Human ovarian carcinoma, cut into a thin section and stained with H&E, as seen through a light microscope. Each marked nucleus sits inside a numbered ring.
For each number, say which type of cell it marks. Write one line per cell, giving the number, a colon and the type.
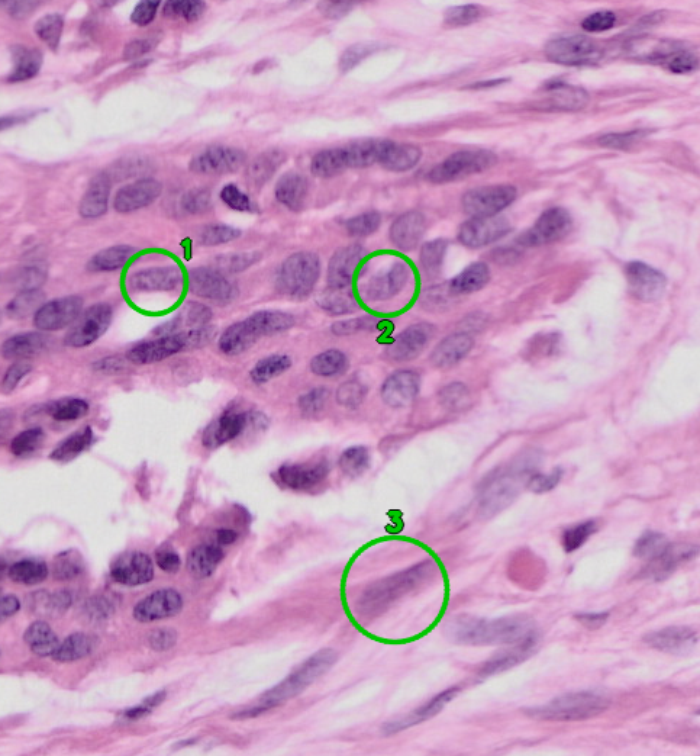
1: carcinoma cell
2: carcinoma cell
3: fibroblast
